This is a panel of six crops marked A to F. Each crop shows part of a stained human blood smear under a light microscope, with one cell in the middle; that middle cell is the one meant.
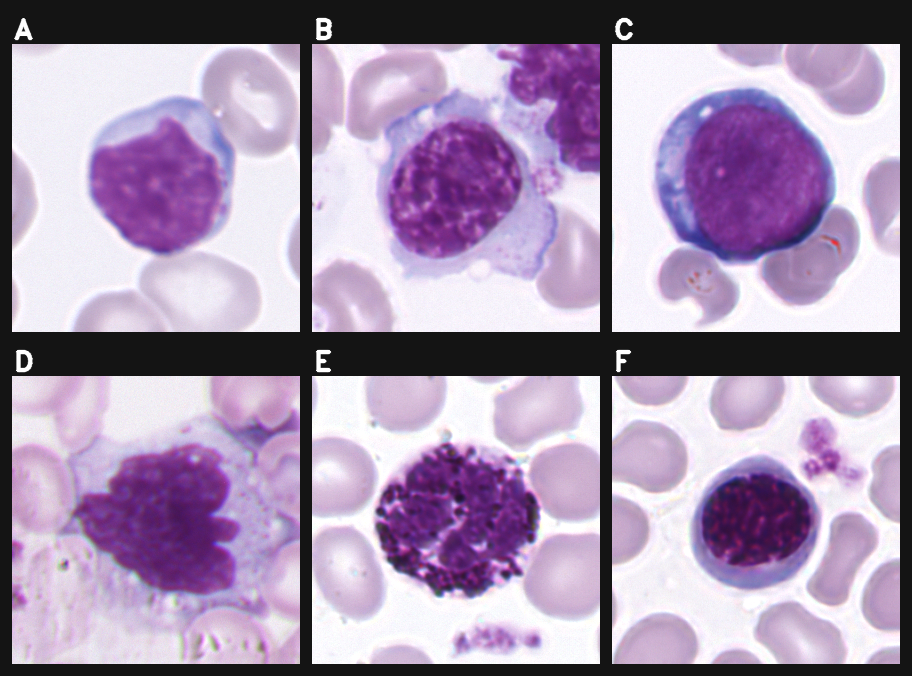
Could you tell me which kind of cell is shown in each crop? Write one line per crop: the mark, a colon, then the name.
A: large granular lymphocyte
B: plasma cell
C: myeloblast
D: monocyte
E: basophil
F: erythroblast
